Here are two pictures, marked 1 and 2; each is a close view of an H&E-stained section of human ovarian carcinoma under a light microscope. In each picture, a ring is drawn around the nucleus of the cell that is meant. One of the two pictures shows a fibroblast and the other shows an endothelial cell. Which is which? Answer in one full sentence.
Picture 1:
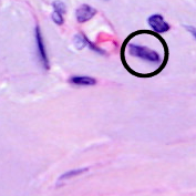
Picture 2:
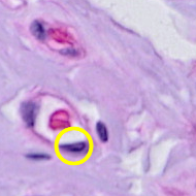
The cell in picture 1 is a fibroblast, and the one in picture 2 is an endothelial cell.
